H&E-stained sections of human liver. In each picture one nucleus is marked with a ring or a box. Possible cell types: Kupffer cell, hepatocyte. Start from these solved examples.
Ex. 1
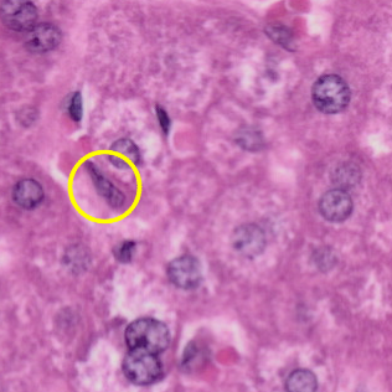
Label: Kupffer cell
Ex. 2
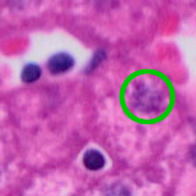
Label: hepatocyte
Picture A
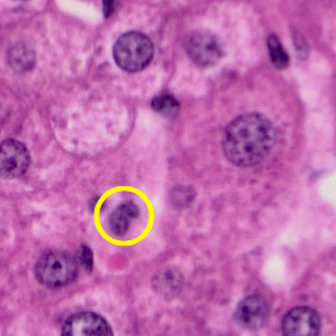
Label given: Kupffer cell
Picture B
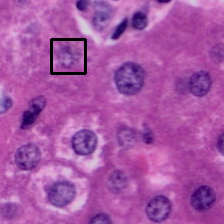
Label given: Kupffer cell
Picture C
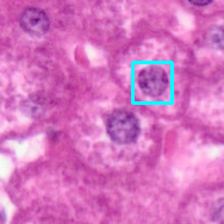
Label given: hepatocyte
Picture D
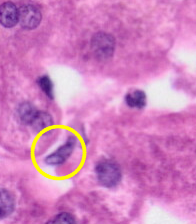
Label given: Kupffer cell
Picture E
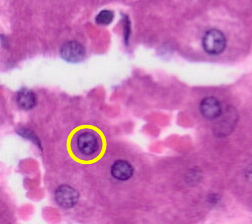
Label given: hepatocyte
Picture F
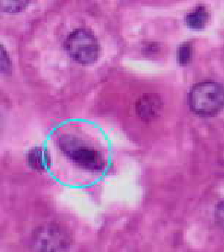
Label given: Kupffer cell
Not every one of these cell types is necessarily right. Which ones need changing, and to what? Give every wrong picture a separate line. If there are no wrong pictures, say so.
B is labelled Kupffer cell; correct label: hepatocyte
